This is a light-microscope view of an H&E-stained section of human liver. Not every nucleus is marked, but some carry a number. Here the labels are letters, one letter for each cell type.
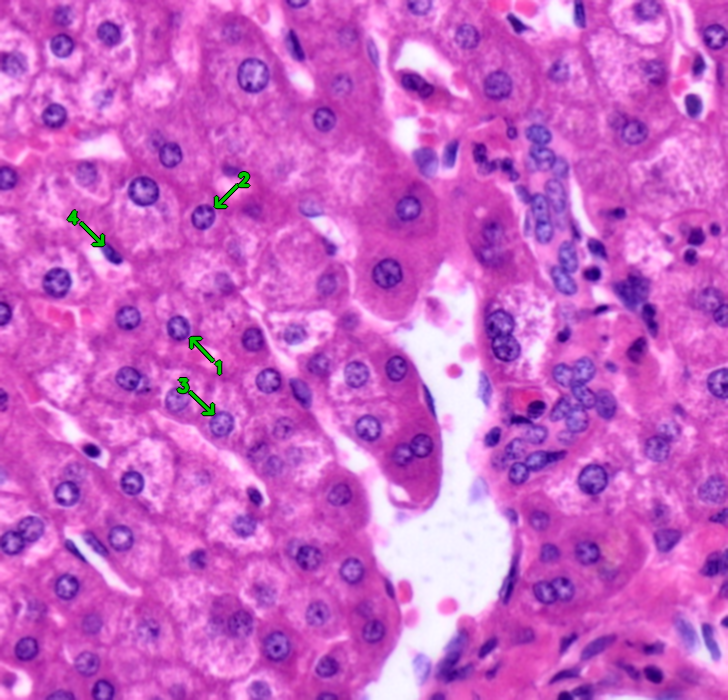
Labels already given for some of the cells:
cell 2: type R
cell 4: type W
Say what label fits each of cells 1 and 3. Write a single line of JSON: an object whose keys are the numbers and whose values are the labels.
{"1": "type R", "3": "type R"}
